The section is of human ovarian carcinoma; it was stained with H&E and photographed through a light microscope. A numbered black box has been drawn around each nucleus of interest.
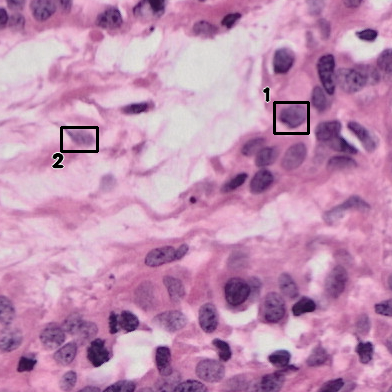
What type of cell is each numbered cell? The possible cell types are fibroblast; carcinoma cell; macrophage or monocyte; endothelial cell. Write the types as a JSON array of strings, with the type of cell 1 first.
["carcinoma cell", "fibroblast"]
